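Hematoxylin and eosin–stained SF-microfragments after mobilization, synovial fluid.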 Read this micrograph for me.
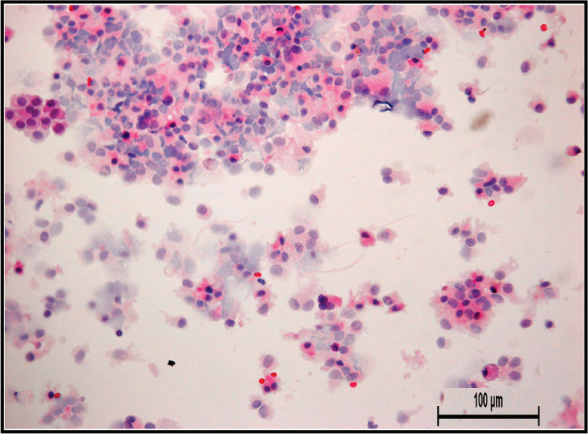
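Cells spread on a pale background, partly gathered into loose clusters and sheets and partly lying singly. Most cells are small and rounded, with round, purple-blue nuclei. They have a modest rim of pale bluish to pink cytoplasm. Some nuclei are smaller and denser and stain darker. In places the cells sit closely packed in pink-staining groups, especially across the upper part of the field. Scattered among them are small, bright red, anucleate discs consistent with red blood cells. The cells in the clusters show no distinct tissue layering.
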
